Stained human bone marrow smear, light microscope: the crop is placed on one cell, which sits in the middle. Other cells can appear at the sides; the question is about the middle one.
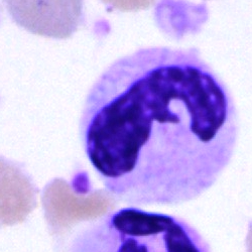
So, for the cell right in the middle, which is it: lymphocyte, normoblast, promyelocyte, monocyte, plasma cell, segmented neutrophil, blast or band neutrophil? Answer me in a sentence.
In the center of this field lies a band neutrophil.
